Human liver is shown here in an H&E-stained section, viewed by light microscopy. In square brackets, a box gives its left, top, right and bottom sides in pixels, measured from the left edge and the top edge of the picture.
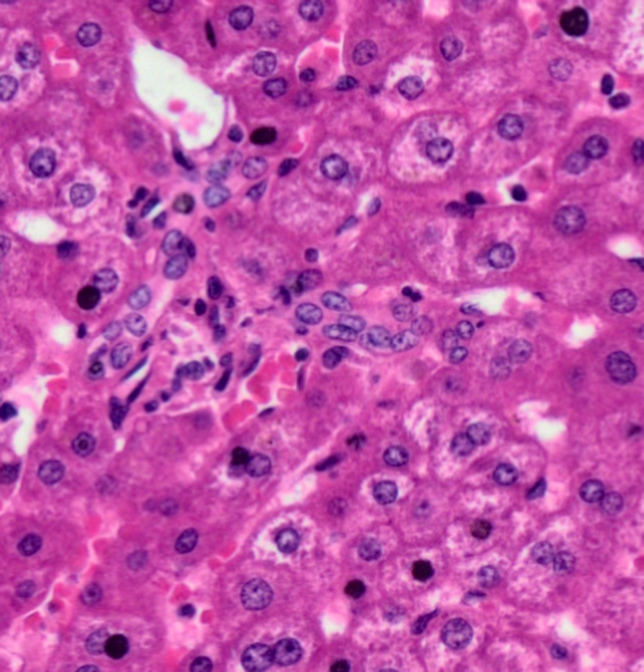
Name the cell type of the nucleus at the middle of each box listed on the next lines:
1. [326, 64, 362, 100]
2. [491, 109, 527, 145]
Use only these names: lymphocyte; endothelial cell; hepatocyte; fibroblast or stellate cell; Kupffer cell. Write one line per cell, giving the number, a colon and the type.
1: fibroblast or stellate cell
2: hepatocyte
